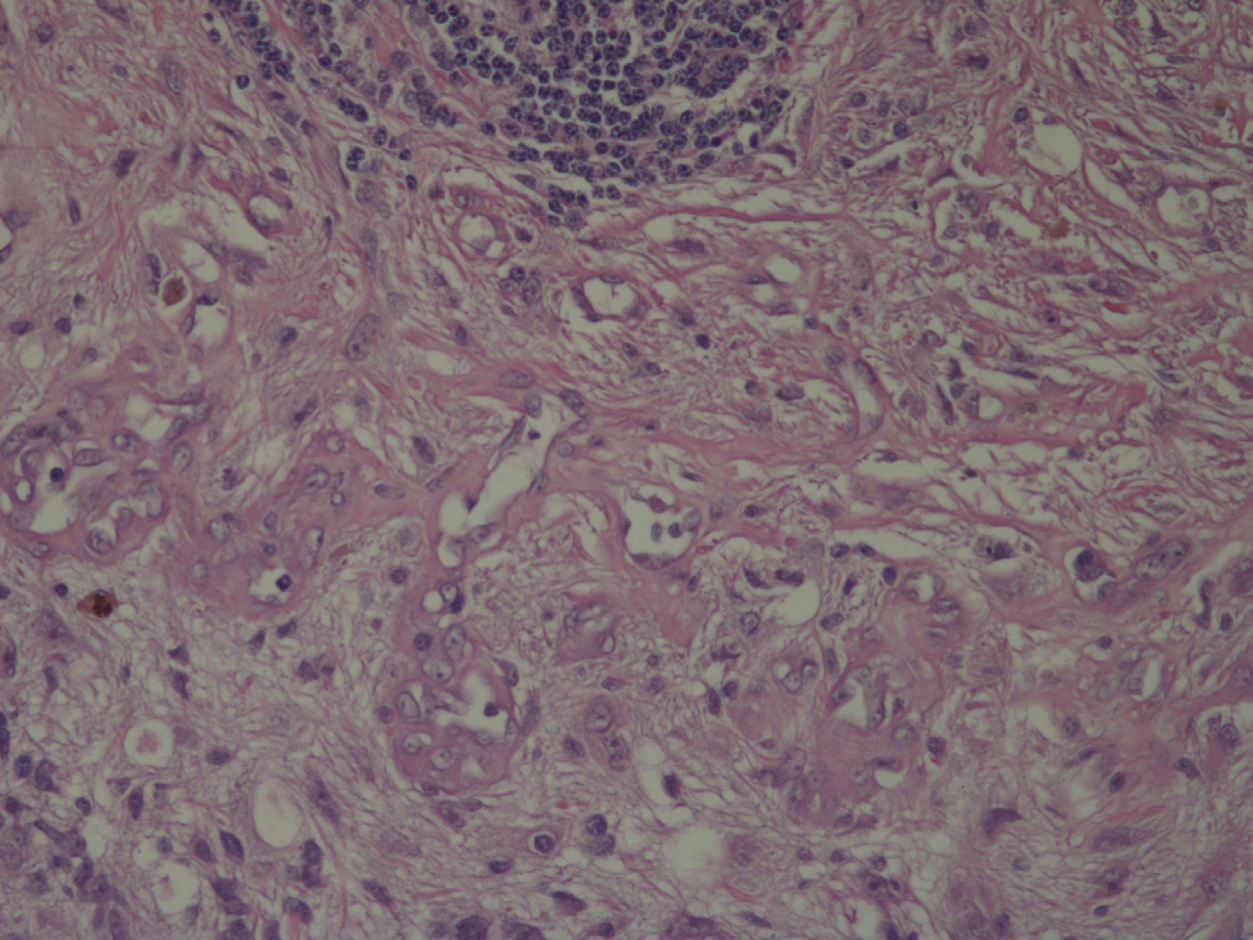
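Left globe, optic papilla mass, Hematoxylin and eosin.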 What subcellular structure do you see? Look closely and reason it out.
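Oval vesicular nuclei. Many nuclei between the vascular tufts are oval.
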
